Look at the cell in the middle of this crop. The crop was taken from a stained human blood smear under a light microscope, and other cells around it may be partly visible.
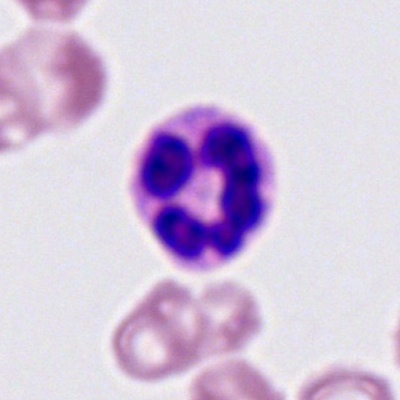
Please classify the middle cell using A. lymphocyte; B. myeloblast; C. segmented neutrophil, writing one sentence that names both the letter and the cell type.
Given that the cell in the middle is a segmented neutrophil, option C is correct.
